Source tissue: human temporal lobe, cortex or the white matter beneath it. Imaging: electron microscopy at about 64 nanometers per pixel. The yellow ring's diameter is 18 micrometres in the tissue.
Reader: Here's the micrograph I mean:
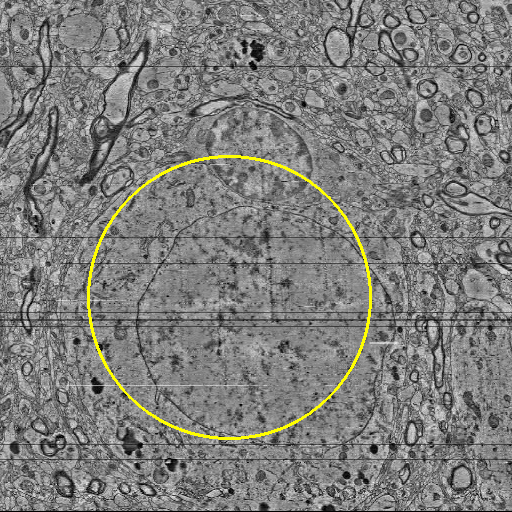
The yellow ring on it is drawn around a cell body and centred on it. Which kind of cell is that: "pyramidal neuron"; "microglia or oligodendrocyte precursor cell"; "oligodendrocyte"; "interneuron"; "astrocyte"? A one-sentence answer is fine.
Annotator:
The ring is centred on a pyramidal neuron.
